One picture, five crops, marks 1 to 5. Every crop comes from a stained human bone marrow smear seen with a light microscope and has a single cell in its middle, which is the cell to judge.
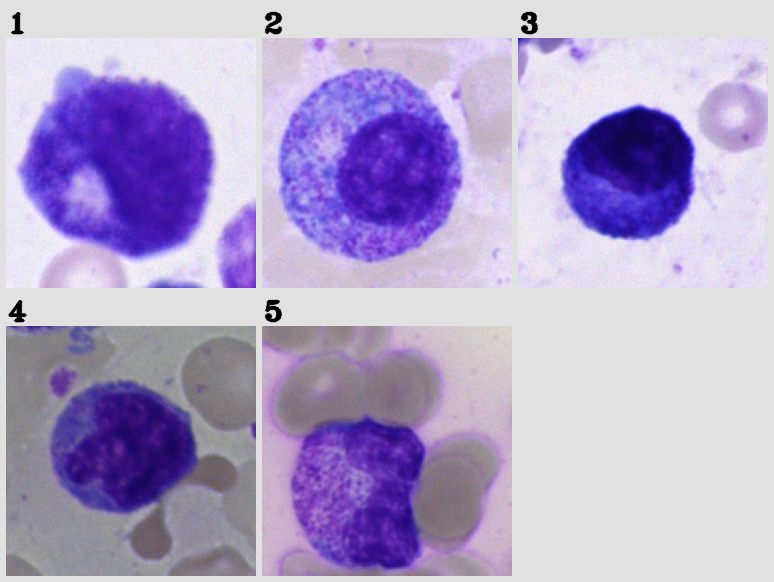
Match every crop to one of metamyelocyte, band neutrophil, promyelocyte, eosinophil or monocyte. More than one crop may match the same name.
1: promyelocyte
2: promyelocyte
3: promyelocyte
4: monocyte
5: band neutrophil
